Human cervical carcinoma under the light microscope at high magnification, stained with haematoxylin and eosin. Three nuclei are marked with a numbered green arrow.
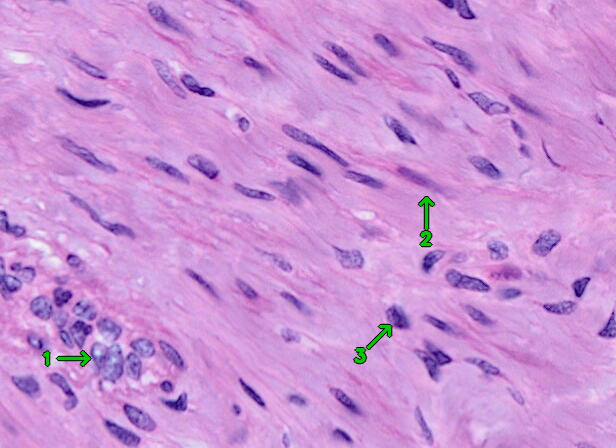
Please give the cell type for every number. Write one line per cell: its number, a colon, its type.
1: endothelial cell
2: smooth muscle cell
3: fibroblast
